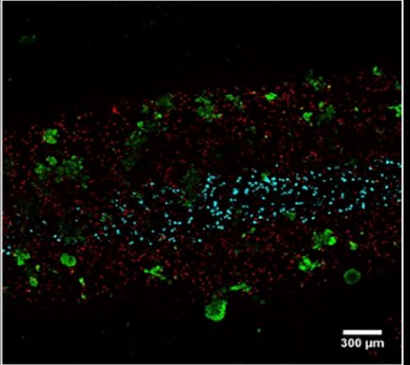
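A horizontal band of densely packed small cyan dots runs through the middle, flanked above and below by a broader zone of many small red dots. Scattered through the red zone are green aggregates of varied size and irregular outline, some rounded, forming cell clusters larger than the single dots. The strand's outer edges fade into a dark background.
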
